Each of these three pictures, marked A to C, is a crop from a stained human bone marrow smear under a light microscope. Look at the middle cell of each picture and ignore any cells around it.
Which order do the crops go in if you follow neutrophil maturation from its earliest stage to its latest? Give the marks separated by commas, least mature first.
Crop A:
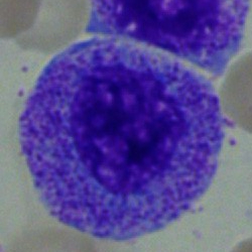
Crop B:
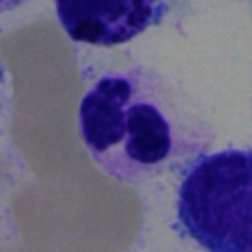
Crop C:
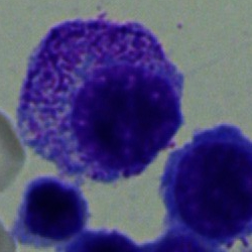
A, C, B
